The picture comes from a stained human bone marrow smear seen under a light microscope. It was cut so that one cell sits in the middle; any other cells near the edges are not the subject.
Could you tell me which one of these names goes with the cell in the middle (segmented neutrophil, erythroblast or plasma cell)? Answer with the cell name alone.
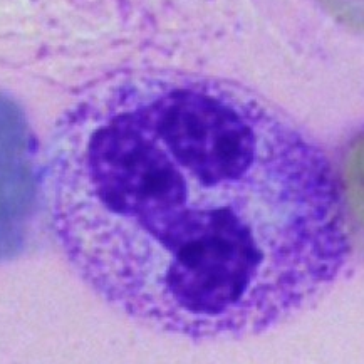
segmented neutrophil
